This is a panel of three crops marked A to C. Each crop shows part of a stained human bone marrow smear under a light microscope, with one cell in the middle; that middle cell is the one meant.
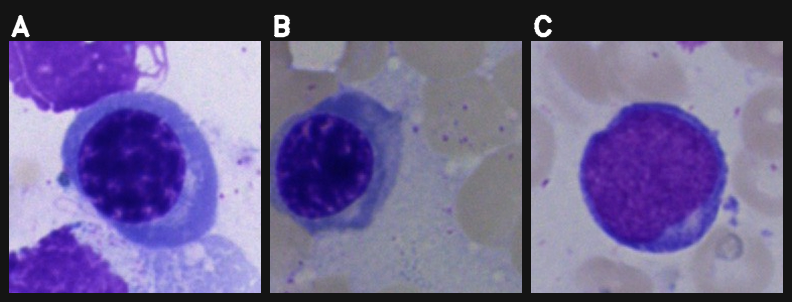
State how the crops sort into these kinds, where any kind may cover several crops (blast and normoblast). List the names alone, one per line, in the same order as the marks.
normoblast
normoblast
blast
